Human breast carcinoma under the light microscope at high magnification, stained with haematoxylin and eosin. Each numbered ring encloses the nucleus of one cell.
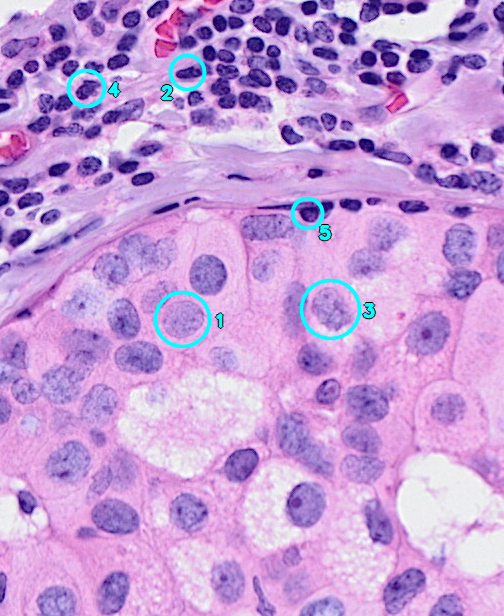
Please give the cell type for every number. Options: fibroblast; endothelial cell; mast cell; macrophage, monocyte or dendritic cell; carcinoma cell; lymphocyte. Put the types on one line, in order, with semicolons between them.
carcinoma cell; lymphocyte; carcinoma cell; lymphocyte; lymphocyte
